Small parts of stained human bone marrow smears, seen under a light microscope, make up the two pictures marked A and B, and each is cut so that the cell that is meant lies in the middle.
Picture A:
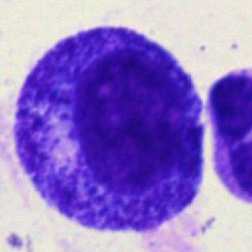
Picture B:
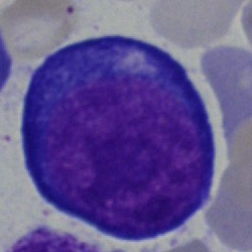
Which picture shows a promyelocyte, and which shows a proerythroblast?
A: promyelocyte
B: proerythroblast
